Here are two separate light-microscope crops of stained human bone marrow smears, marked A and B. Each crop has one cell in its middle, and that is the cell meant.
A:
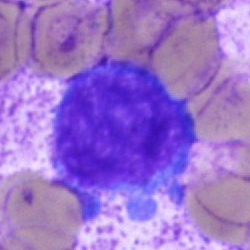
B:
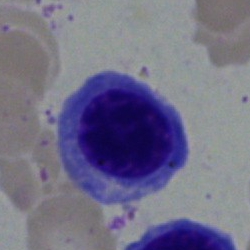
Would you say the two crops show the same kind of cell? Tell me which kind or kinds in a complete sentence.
No, on this set crop A shows a blast and crop B shows an erythroblast.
